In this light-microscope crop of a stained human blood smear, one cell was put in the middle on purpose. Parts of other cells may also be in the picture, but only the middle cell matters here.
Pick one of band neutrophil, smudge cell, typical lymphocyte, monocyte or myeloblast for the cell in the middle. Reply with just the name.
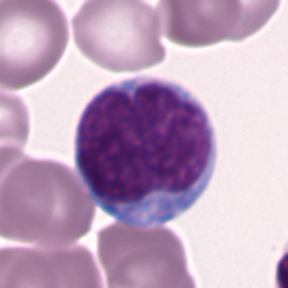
myeloblast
